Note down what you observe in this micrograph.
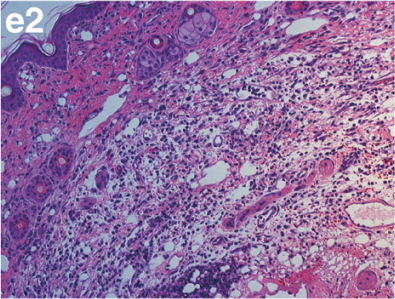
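A purple epithelial layer and a few follicle profiles remain at the upper left. Below and beside them the tissue is crowded with small cells with round dark purple nuclei and scant cytoplasm, typical of lymphocytes. The pink collagen is paler and pulled apart, with clear open spaces and vessels scattered among the cells. Compared with normal skin, the dermis has lost its compact fibrous look and is dominated by the dense cell infiltrate.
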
